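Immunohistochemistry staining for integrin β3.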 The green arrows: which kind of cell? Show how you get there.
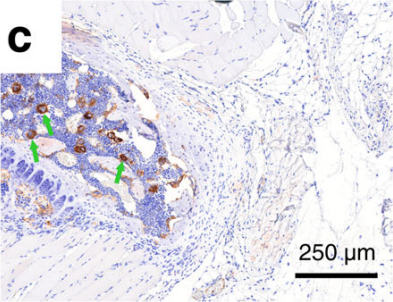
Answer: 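The arrowed cells lie scattered within the densely cellular bone marrow. The arrowed cells are much larger than the surrounding small blue-nucleated marrow cells. The arrowed cells are stained brown.
Hence: megakaryocytes.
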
